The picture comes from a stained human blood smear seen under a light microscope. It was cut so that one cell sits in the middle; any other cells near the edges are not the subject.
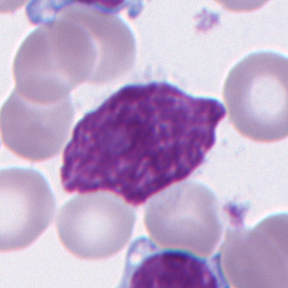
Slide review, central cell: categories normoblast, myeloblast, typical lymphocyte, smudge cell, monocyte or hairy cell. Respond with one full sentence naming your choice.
This crop has a smudge cell at its centre.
